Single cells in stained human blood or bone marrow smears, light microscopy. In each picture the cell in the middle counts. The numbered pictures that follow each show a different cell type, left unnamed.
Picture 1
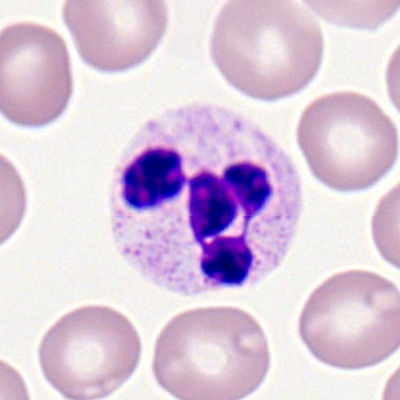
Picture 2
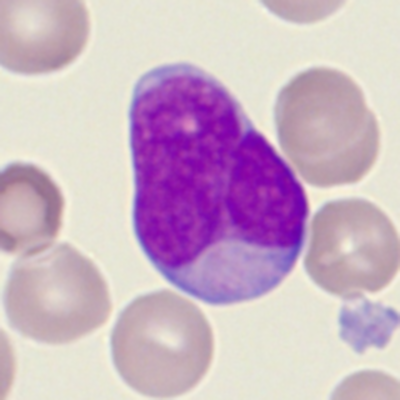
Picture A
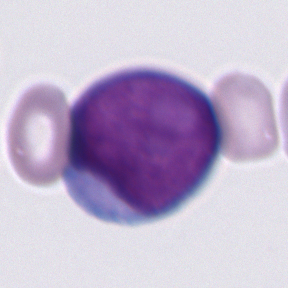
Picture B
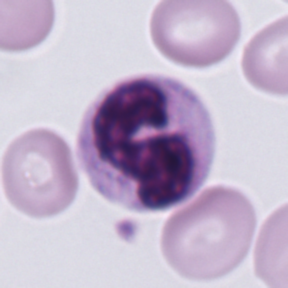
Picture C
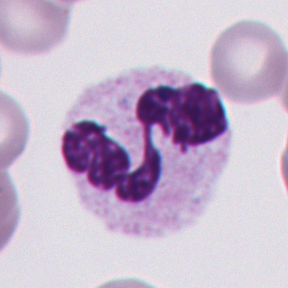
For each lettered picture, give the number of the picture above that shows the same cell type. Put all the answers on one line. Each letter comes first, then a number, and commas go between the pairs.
A 2, B 1, C 1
